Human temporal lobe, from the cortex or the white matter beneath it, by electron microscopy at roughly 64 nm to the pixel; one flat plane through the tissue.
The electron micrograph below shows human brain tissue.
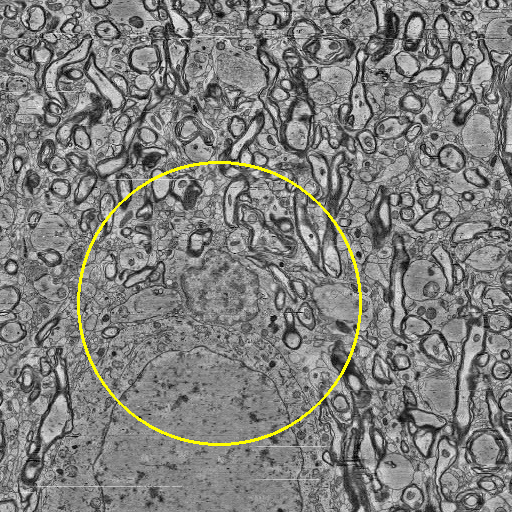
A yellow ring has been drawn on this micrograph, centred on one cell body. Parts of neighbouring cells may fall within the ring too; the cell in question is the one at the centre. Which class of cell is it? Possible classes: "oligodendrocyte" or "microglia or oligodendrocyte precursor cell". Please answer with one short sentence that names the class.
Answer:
In the centre of the ring sits an oligodendrocyte.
